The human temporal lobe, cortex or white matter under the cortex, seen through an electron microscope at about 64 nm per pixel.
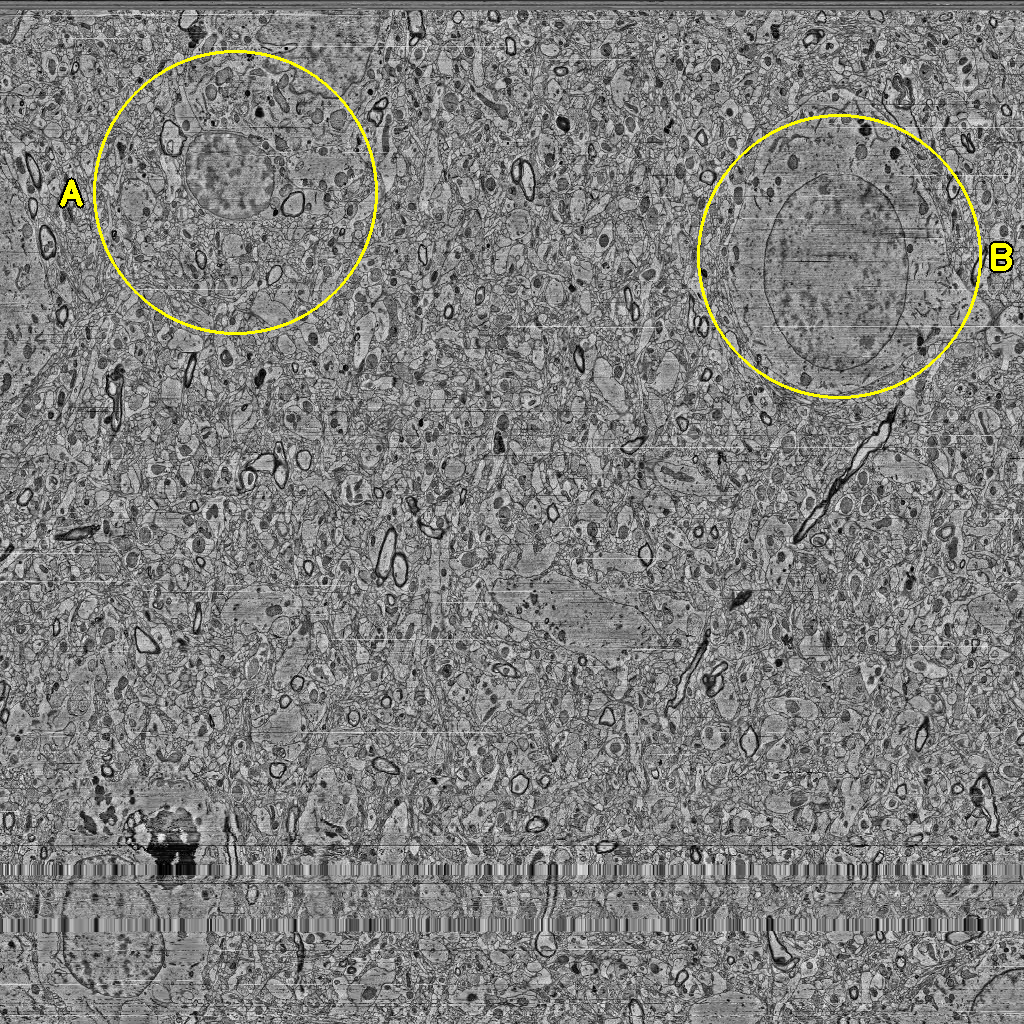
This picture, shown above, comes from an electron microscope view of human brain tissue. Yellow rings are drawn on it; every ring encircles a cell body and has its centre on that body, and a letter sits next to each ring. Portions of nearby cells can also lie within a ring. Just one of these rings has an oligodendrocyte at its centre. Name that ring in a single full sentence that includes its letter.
In the picture, ring A has the cell asked for at its centre.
